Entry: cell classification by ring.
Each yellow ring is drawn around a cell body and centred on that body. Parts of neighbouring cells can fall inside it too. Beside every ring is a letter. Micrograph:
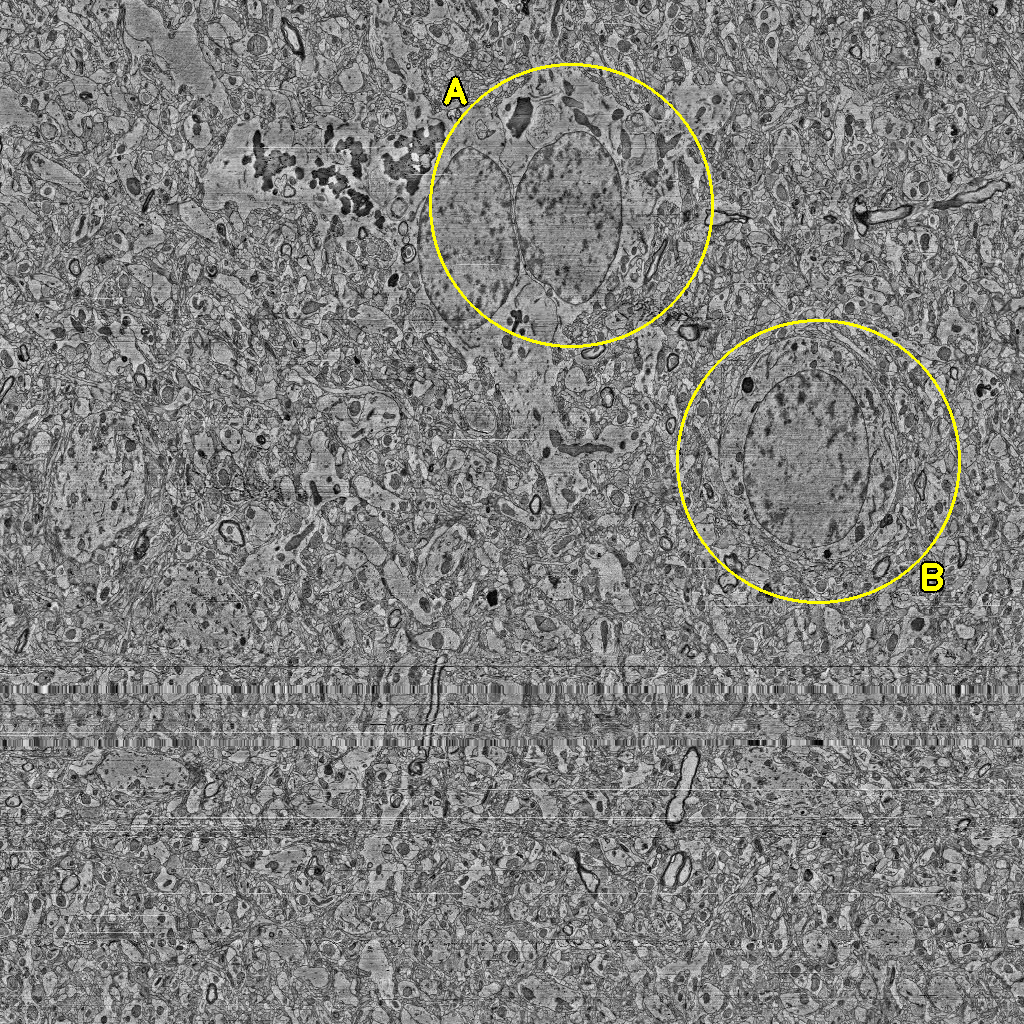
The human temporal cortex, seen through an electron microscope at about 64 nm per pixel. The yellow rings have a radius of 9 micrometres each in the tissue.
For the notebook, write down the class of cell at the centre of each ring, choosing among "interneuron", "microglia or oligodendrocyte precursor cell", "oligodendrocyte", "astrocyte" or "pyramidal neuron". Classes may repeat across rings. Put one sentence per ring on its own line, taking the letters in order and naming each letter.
Ring A marks an astrocyte.
Ring B marks a pyramidal neuron.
